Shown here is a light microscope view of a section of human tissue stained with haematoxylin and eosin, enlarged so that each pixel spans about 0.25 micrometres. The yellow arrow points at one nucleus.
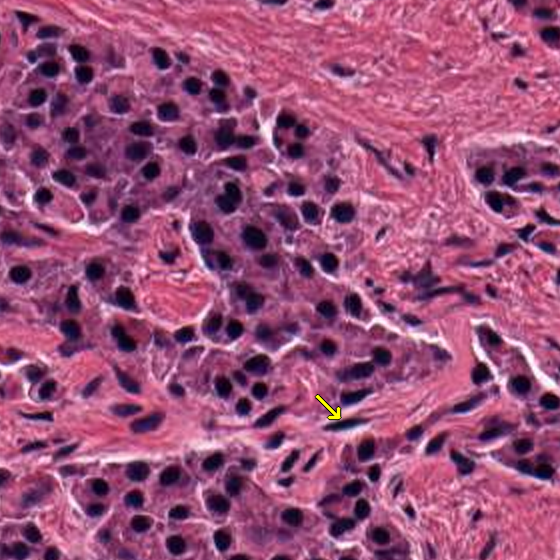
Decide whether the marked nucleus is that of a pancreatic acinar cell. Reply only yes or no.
no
